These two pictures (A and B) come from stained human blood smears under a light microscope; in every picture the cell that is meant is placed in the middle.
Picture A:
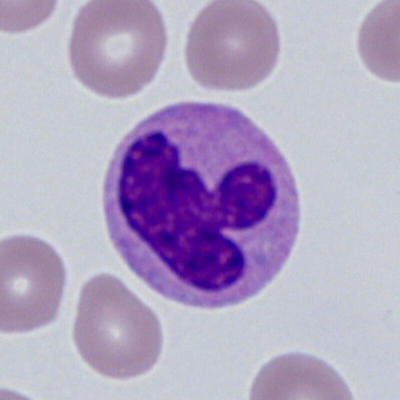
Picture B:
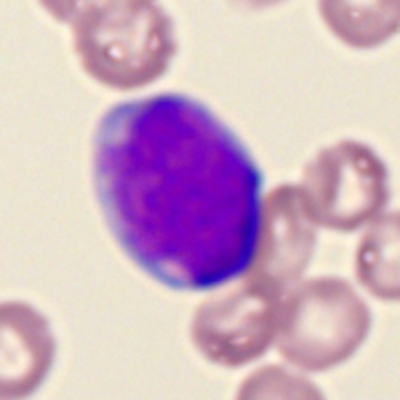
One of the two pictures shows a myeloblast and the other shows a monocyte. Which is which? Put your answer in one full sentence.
In picture A the cell is a monocyte; in picture B, a myeloblast.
